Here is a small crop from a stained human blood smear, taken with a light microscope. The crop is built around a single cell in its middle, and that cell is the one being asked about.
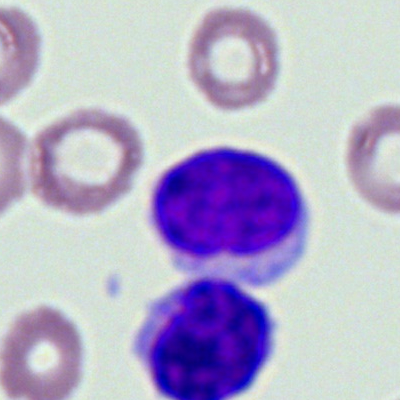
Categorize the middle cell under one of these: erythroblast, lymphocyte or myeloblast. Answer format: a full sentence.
Standing at the centre of this crop is a lymphocyte.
